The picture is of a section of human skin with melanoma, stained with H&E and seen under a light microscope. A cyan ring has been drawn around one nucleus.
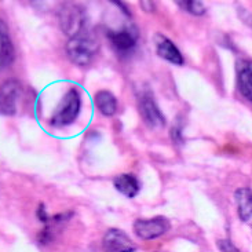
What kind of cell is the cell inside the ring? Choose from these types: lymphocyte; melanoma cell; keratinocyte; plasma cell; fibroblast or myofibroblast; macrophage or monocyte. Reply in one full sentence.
Cell type answer for this item: the cell inside the ring is a macrophage or monocyte.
